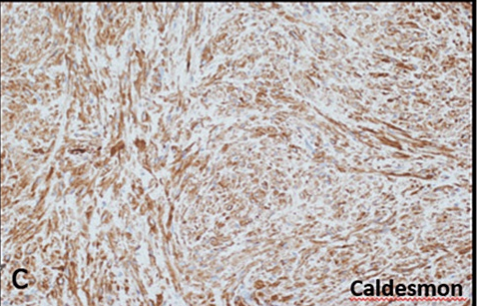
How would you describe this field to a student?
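The cells are elongated and lie in bundles that run in different directions, some cut lengthwise and others crosswise. Pale unstained stroma separates some of the bundles.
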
